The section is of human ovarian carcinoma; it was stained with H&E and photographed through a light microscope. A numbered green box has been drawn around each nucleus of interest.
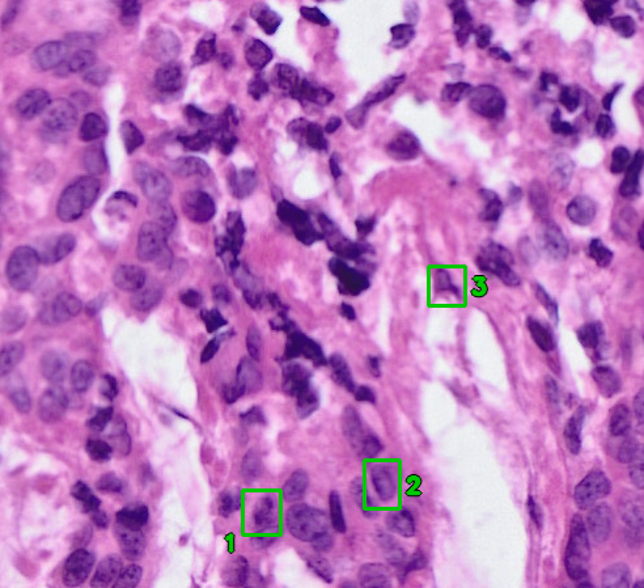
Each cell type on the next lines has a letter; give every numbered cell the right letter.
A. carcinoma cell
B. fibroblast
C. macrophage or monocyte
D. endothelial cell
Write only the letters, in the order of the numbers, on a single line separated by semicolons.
A; A; B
